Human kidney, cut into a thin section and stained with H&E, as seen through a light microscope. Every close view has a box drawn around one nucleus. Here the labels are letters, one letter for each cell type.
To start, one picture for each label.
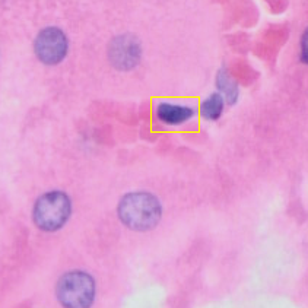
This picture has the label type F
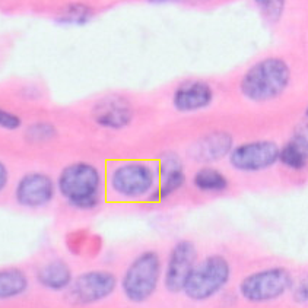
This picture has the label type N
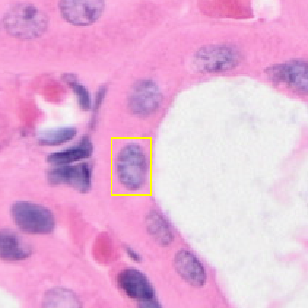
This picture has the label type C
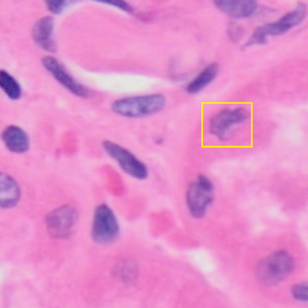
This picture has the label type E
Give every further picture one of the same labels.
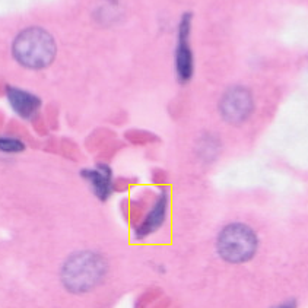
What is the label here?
type F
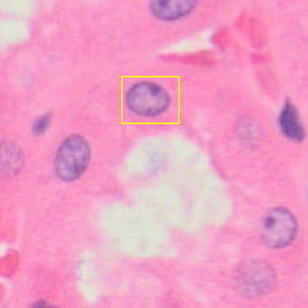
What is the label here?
type E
